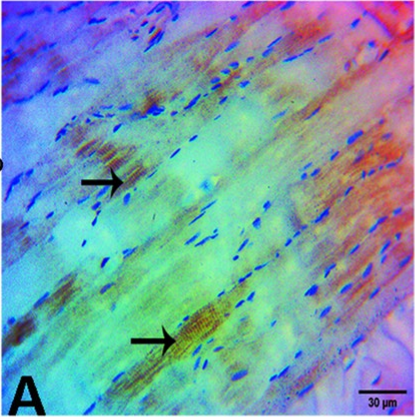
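These are long skeletal muscle fibres cut along their length, running diagonally across the field. Small, elongated blue nuclei lie along the edges of the fibres, and in places the fibres show fine, regular cross striations that take up a brown stain.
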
